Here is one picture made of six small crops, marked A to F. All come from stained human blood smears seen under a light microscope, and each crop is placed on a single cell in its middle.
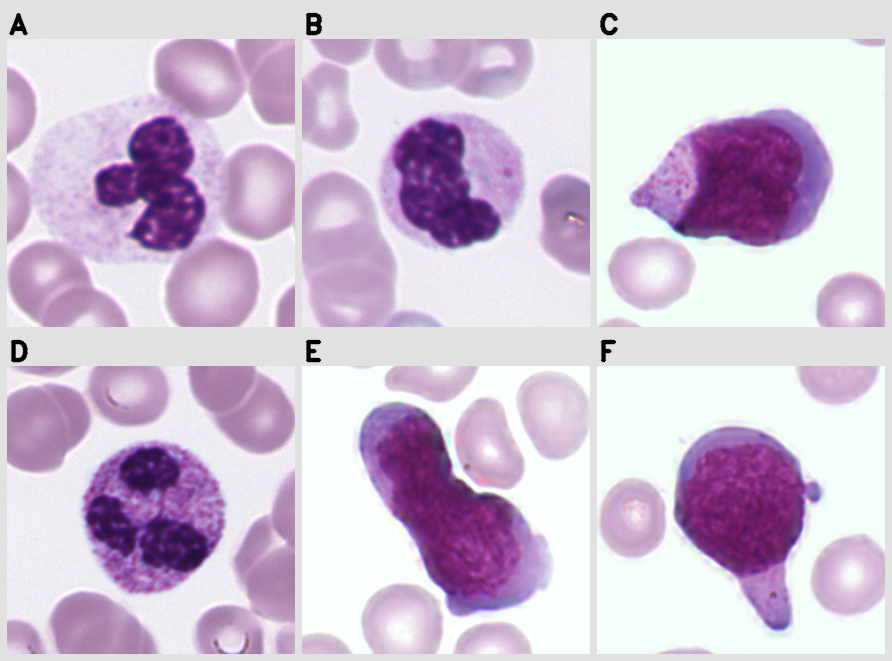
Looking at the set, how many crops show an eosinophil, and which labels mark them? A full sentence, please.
The count is zero, as not one of the crops contains eosinophils.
